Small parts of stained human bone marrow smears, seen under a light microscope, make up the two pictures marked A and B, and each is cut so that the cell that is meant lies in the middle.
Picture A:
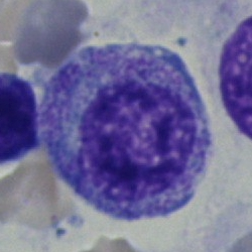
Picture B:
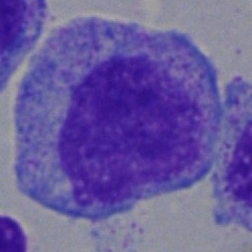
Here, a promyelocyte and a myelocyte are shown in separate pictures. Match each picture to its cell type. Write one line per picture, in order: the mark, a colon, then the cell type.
A: myelocyte
B: promyelocyte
